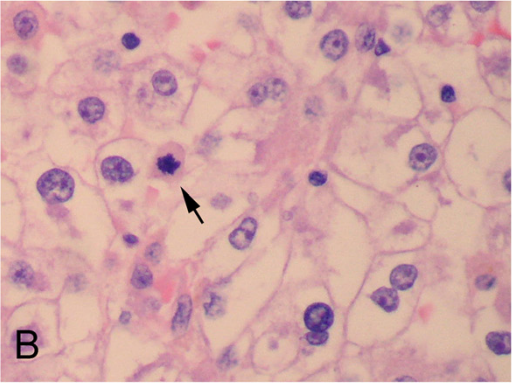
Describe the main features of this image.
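High-power view of epithelioid tumor cells with abundant clear to pale pink cytoplasm and sharp, thin cell borders, giving a honeycomb appearance. Nuclei vary somewhat in size, and a few smaller dark nuclei are scattered between the cells. One cell contains a dense, dark, clumped chromatin mass without a nuclear outline, a mitotic figure. Strands of pale pink material lie between some cells.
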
